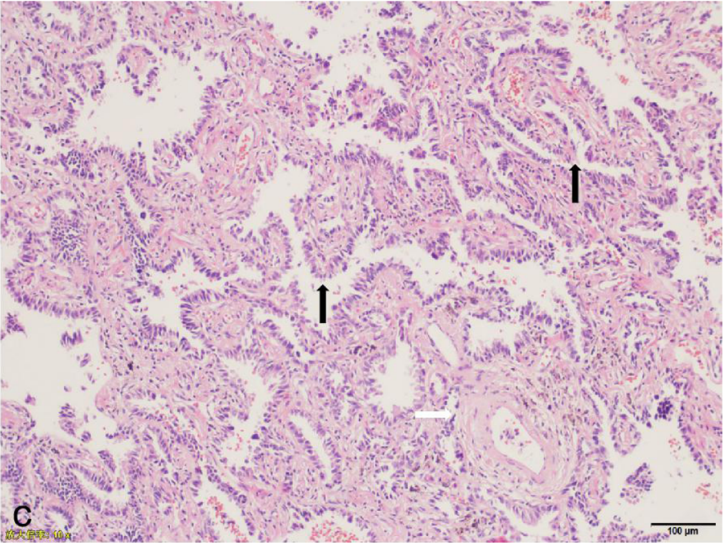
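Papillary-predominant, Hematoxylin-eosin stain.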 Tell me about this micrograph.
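Many branching fronds with pale pink stromal cores project into clear open spaces. Each frond is covered by a layer of small cells with dark purple nuclei and scant pink cytoplasm. Some cores contain small vessels with red blood cells.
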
